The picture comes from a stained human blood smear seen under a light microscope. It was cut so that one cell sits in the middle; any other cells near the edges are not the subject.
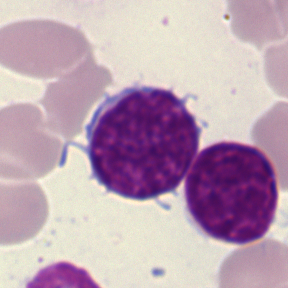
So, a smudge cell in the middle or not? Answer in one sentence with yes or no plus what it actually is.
No, rather than being a smudge cell, the central cell is a myeloblast.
